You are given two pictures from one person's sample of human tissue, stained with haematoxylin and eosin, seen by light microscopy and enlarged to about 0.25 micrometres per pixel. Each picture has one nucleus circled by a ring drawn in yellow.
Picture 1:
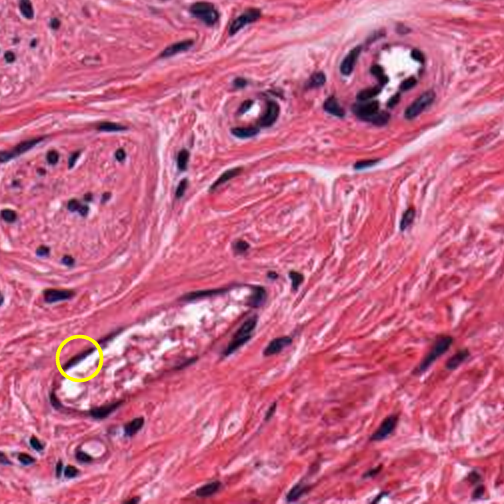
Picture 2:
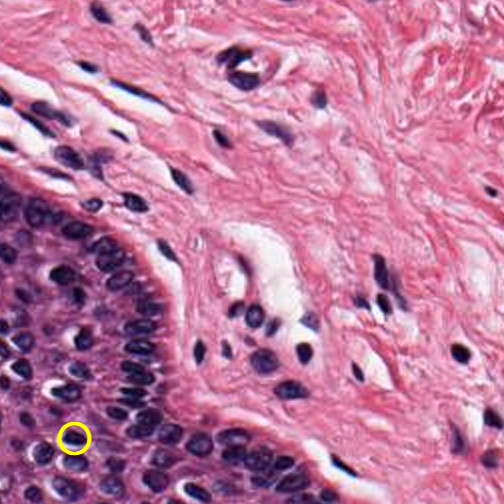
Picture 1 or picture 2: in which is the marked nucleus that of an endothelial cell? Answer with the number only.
1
